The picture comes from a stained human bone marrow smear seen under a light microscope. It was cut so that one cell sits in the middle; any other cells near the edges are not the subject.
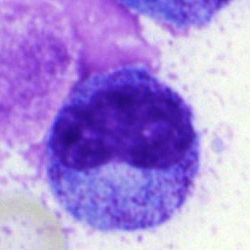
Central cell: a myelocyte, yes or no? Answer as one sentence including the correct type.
Yes, the middle cell of the field is a myelocyte.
